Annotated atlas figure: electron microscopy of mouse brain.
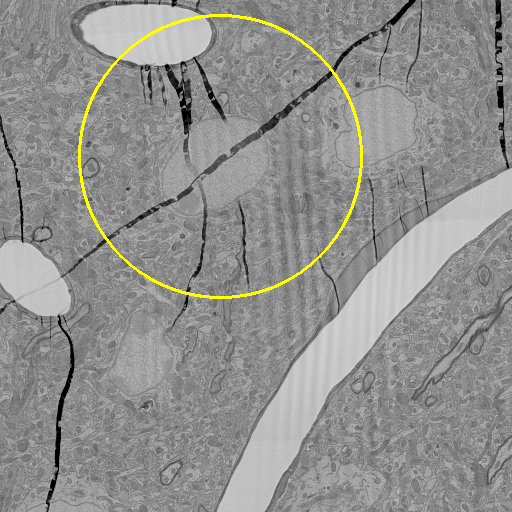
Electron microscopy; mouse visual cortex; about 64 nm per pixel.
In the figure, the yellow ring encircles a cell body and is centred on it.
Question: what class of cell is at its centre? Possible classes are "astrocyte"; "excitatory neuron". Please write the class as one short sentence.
The yellow ring is drawn around an astrocyte.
